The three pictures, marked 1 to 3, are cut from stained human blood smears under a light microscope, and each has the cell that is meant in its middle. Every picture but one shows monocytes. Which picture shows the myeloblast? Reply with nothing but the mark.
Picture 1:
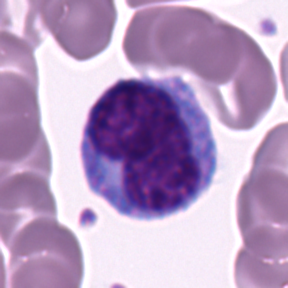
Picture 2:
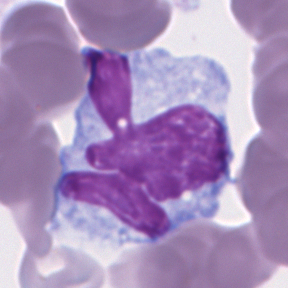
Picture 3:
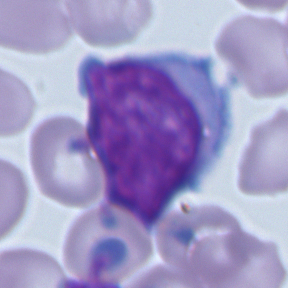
3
